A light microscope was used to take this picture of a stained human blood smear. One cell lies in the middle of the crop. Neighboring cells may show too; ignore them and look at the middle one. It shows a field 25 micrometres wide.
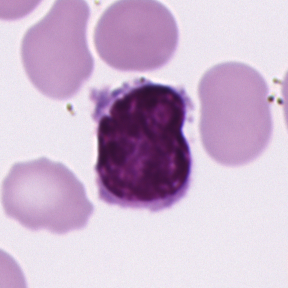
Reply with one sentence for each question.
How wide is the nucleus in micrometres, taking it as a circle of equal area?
Taken as a circle, the nucleus has a diameter of about 9 micrometres.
